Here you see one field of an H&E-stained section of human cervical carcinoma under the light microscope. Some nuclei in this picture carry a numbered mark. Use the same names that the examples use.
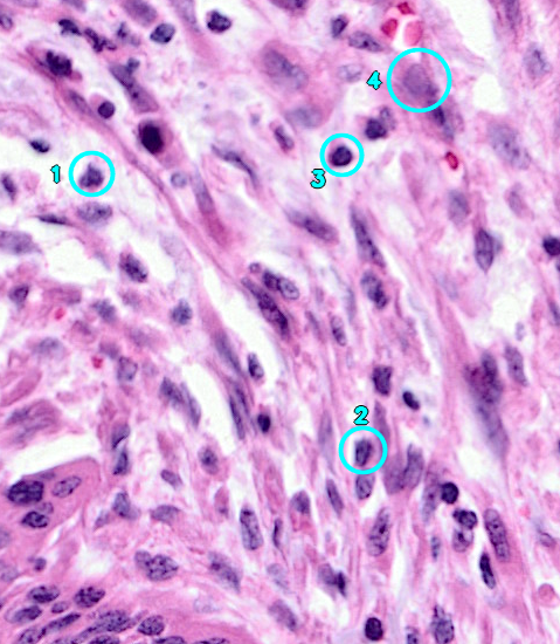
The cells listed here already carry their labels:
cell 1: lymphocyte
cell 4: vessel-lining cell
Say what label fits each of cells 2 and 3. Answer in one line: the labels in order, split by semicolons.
lymphocyte; lymphocyte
